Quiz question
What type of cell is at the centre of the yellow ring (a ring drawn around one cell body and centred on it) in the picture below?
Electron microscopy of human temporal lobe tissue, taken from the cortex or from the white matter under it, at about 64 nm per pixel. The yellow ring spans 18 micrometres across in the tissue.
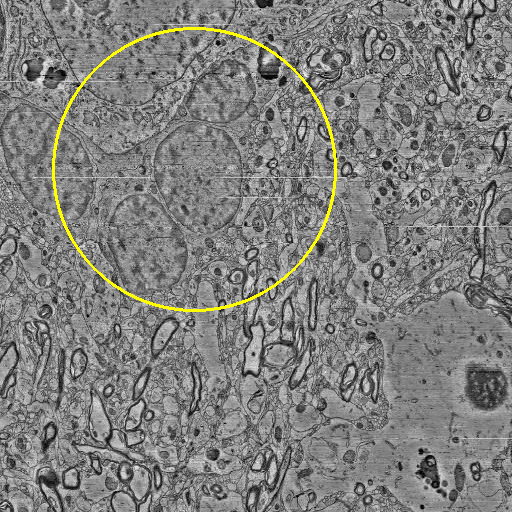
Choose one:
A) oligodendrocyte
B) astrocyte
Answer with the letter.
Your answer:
A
